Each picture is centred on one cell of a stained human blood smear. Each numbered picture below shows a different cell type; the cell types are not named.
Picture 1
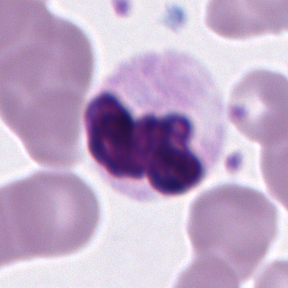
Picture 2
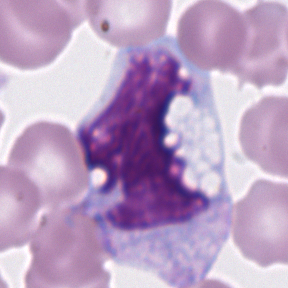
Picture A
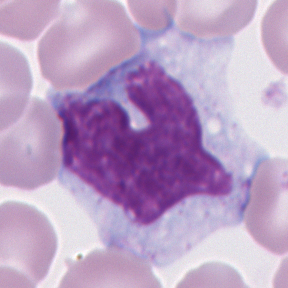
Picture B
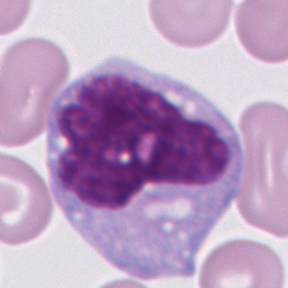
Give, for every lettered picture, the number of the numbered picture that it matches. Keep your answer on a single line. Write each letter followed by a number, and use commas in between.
A 2, B 2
